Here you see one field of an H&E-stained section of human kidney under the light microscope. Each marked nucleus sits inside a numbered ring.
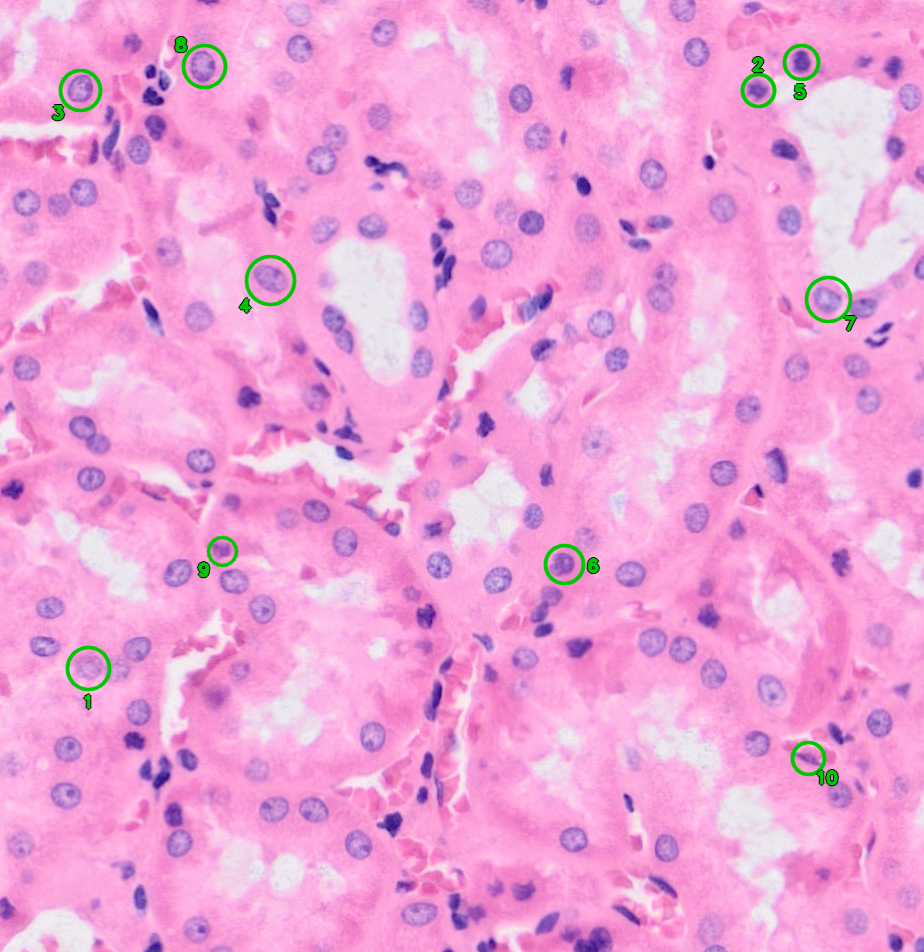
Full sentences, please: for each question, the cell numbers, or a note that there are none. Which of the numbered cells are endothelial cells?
Cell 10 is an endothelial cell, which is true of none of the other numbered cells.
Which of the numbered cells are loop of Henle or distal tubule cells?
The cells with the numbers 2, 5 and 7 are loop of Henle or distal tubule cells.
